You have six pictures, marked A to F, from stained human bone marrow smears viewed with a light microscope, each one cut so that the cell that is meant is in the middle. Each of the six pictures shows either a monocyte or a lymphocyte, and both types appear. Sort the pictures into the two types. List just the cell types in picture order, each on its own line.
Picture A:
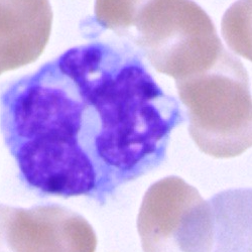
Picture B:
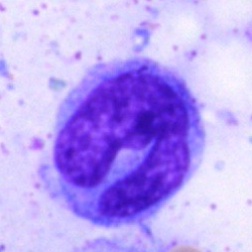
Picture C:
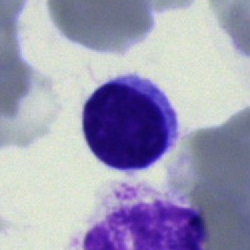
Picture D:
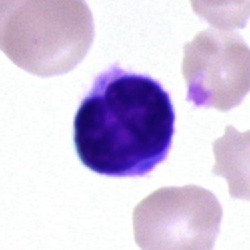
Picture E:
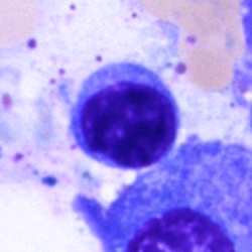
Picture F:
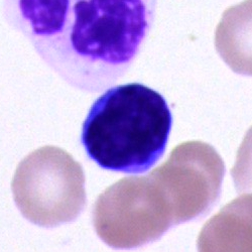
monocyte
monocyte
lymphocyte
lymphocyte
lymphocyte
lymphocyte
